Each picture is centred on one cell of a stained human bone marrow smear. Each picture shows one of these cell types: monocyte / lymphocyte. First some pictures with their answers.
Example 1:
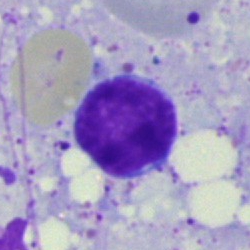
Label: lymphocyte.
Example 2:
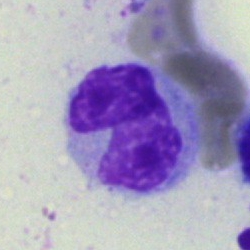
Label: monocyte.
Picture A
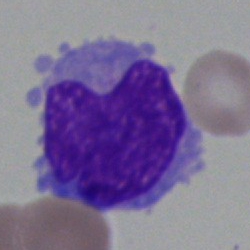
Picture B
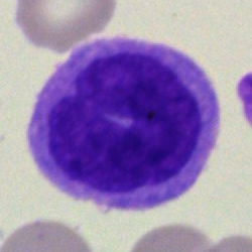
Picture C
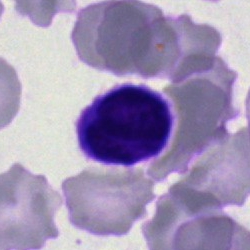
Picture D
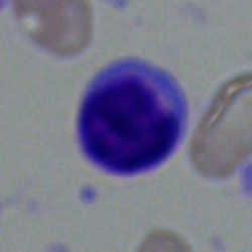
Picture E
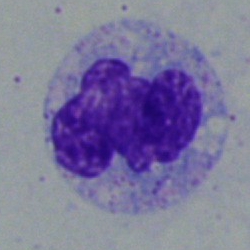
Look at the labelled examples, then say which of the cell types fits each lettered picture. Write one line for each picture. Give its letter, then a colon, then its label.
A: monocyte.
B: monocyte.
C: lymphocyte.
D: lymphocyte.
E: monocyte.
